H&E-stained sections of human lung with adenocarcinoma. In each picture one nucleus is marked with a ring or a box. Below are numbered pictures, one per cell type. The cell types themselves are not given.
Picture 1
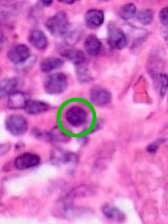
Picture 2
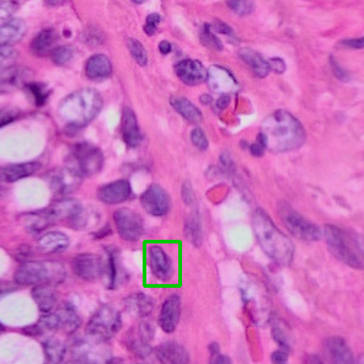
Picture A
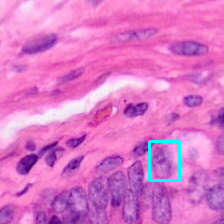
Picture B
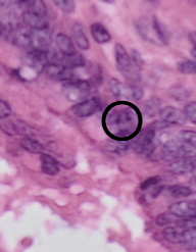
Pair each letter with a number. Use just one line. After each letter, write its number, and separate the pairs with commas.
A 2, B 2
